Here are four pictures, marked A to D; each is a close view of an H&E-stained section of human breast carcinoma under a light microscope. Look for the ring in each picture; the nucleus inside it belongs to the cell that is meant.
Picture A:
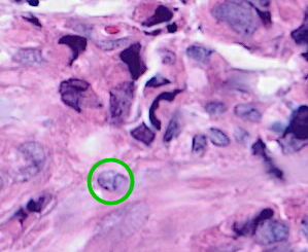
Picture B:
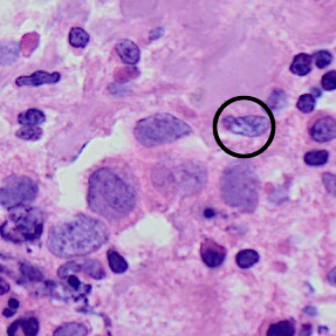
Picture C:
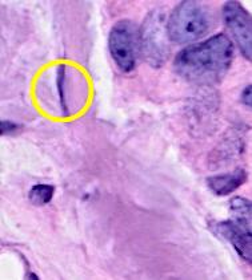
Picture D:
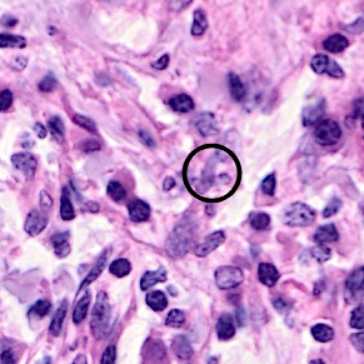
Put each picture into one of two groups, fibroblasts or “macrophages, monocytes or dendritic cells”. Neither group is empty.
A: macrophage, monocyte or dendritic cell
B: macrophage, monocyte or dendritic cell
C: fibroblast
D: macrophage, monocyte or dendritic cell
